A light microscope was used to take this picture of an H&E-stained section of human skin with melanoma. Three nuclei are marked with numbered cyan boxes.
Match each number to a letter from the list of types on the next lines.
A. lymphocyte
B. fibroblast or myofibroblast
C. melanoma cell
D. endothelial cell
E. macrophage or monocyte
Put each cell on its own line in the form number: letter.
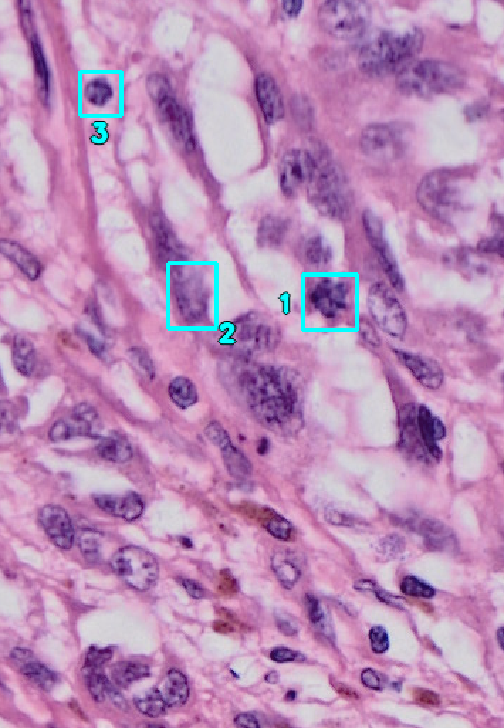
1: C
2: C
3: A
